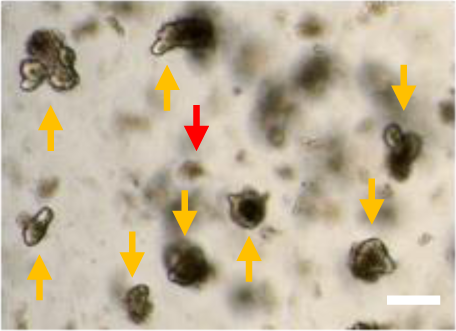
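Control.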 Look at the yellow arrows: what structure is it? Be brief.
Organoids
